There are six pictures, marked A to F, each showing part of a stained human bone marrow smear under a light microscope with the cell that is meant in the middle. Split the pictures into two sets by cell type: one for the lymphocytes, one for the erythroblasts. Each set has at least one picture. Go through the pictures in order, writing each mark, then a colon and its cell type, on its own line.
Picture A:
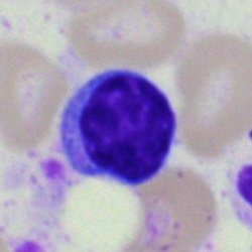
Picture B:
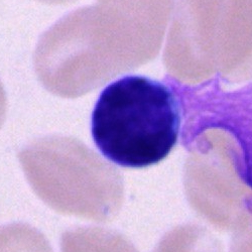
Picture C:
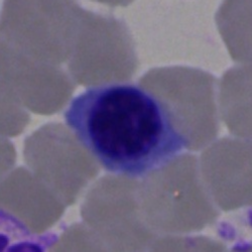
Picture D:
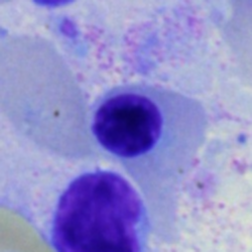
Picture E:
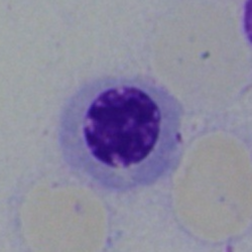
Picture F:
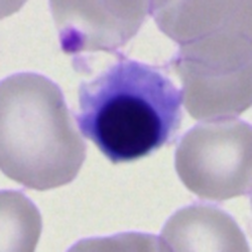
A: lymphocyte
B: lymphocyte
C: erythroblast
D: erythroblast
E: erythroblast
F: erythroblast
